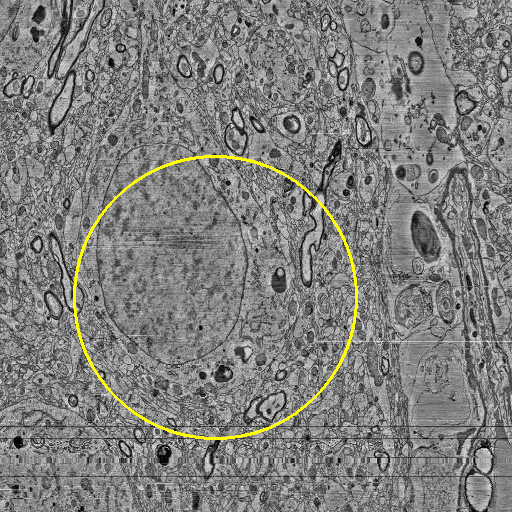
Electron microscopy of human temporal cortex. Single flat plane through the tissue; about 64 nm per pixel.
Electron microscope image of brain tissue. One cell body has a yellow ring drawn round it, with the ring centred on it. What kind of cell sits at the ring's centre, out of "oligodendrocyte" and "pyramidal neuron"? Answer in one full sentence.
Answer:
It is a pyramidal neuron whose cell body sits at the centre of the yellow ring.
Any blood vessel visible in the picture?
Yes.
